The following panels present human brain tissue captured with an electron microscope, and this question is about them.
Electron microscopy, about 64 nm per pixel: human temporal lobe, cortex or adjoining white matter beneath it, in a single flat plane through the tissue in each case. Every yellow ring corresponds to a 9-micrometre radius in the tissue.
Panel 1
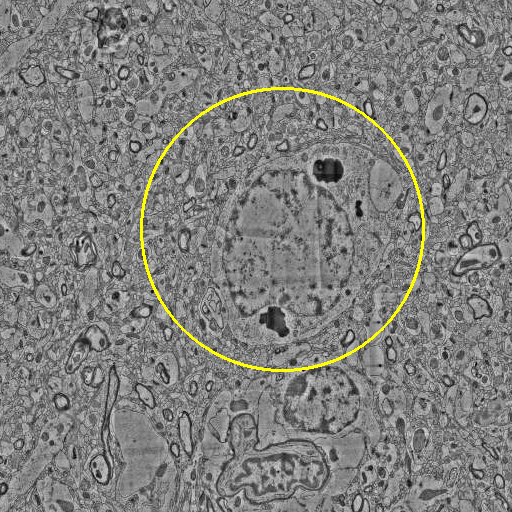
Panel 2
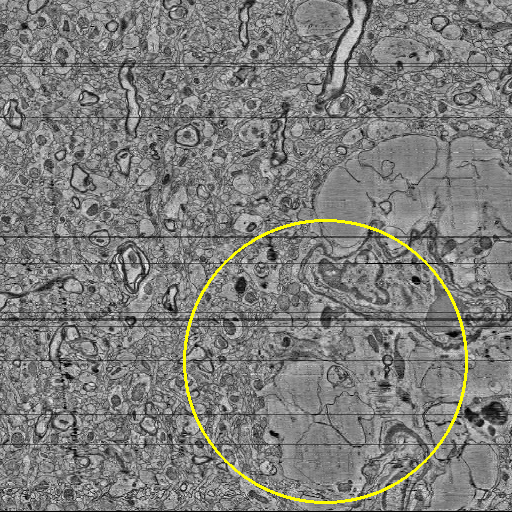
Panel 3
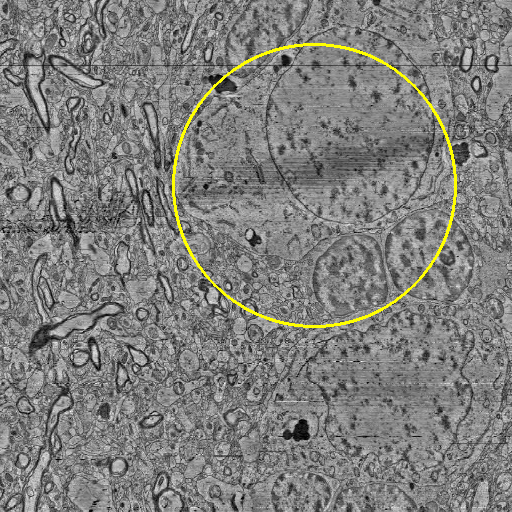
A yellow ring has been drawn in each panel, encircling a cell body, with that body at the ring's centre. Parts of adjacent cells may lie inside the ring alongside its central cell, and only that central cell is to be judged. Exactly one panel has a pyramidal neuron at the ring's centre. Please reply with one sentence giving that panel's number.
The ring whose central cell fits the description is the one in panel 3.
